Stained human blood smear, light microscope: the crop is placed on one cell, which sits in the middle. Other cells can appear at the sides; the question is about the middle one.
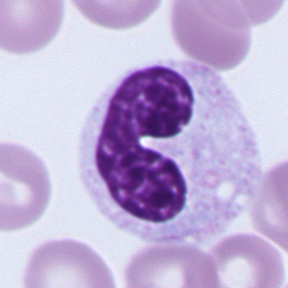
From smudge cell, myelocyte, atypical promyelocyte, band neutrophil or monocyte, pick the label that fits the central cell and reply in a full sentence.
What sits at the centre of this crop is a band neutrophil.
